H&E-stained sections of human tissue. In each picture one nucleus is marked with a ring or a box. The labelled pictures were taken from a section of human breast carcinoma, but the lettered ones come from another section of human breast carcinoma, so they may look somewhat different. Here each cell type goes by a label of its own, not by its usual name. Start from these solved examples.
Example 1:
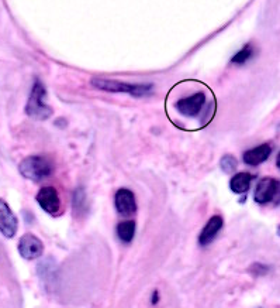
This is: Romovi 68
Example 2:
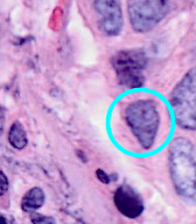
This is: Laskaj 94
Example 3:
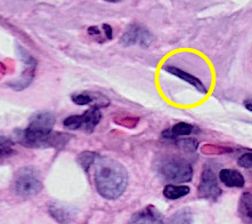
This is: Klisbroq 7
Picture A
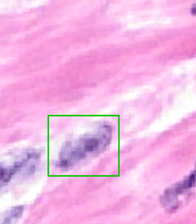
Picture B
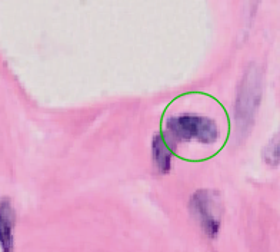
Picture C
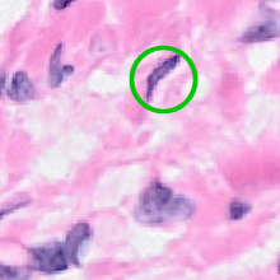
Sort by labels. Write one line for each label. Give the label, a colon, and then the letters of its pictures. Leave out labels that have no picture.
Romovi 68: B
Klisbroq 7: A, C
